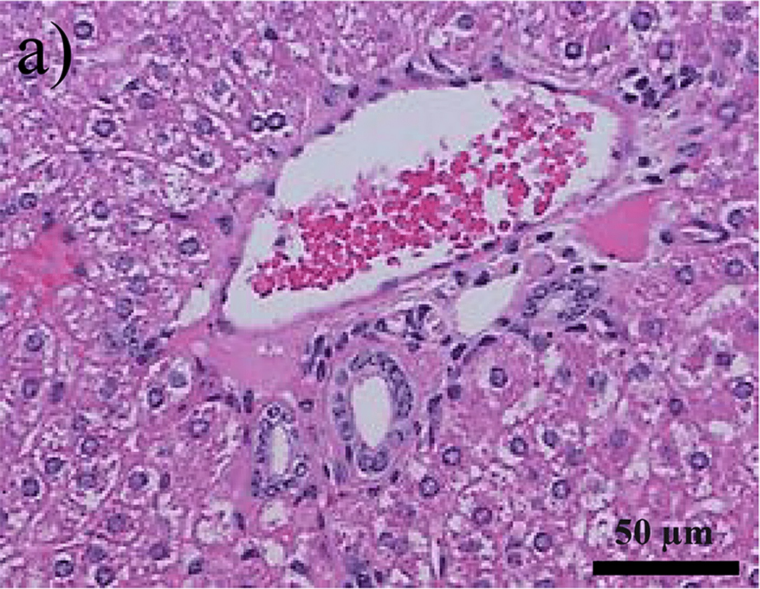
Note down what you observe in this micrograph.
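Liver tissue with a small portal area in the middle, surrounded by plates of hepatocytes. The hepatocytes are polygonal, with pink finely granular cytoplasm and round, centrally placed nuclei with visible nucleoli. In the portal area a thin-walled vessel holds clumped red blood cells, and below it lie small round ducts lined by a single layer of cuboidal cells with dark nuclei around a clear lumen.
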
